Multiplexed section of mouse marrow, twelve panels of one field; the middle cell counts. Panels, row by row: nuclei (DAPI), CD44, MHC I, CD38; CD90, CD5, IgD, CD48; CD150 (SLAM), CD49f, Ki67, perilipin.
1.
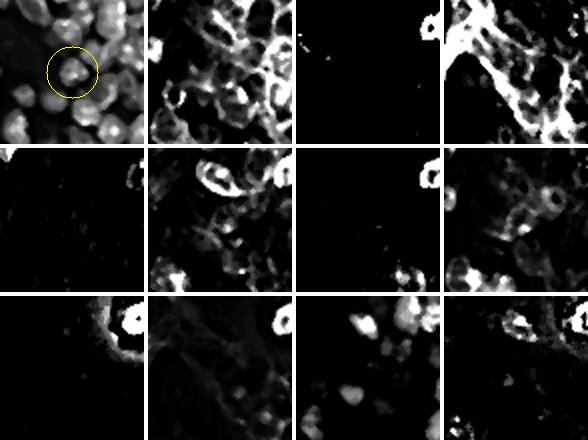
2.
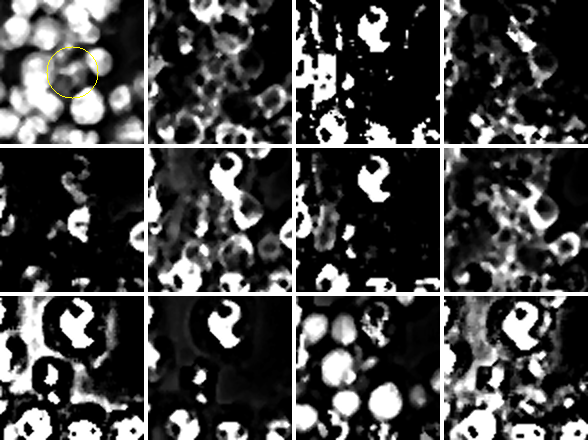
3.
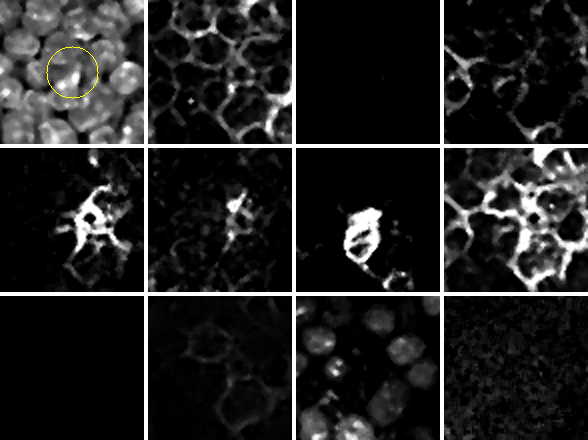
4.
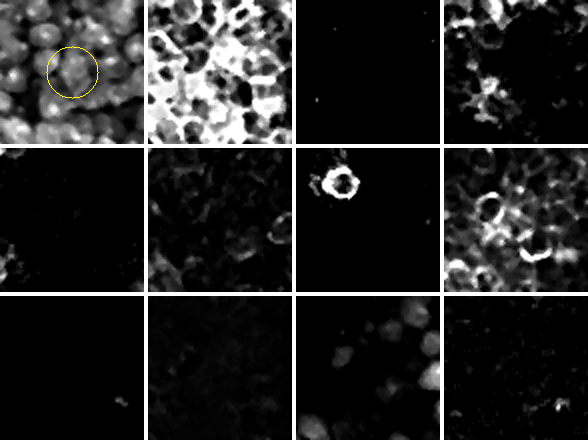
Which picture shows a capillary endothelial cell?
Picture 1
